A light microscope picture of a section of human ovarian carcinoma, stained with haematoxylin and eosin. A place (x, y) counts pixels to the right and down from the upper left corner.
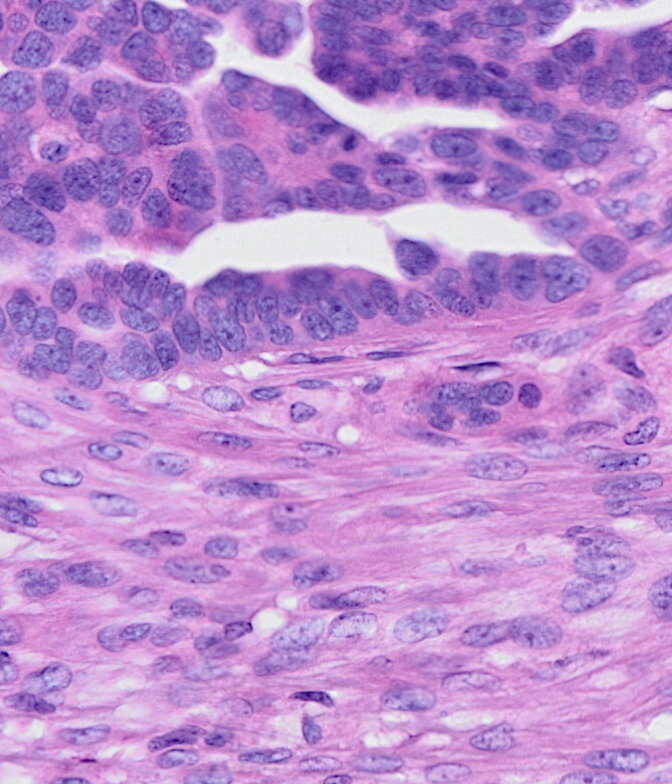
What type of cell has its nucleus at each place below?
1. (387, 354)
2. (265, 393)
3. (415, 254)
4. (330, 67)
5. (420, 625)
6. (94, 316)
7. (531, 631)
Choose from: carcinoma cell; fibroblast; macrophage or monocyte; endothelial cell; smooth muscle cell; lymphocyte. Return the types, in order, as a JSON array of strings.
["fibroblast", "fibroblast", "carcinoma cell", "carcinoma cell", "fibroblast", "carcinoma cell", "fibroblast"]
